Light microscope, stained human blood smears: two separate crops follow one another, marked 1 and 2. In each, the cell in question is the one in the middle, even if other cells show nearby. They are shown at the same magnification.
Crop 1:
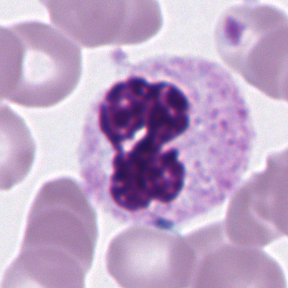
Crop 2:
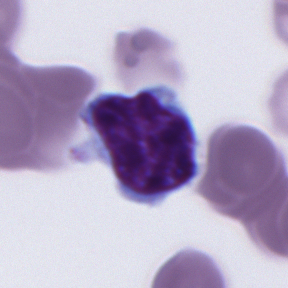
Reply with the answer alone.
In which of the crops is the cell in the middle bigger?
1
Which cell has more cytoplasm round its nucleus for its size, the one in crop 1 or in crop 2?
1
